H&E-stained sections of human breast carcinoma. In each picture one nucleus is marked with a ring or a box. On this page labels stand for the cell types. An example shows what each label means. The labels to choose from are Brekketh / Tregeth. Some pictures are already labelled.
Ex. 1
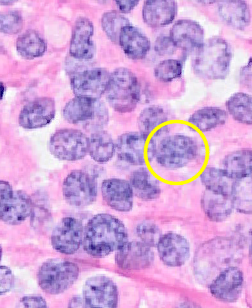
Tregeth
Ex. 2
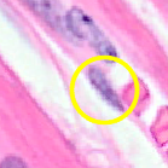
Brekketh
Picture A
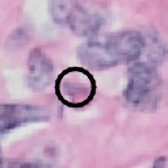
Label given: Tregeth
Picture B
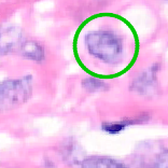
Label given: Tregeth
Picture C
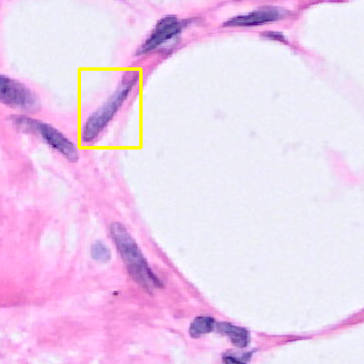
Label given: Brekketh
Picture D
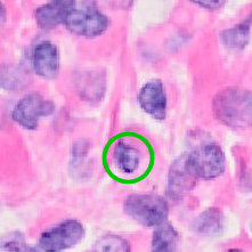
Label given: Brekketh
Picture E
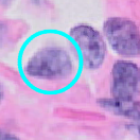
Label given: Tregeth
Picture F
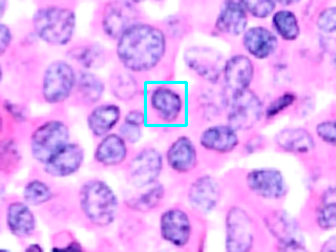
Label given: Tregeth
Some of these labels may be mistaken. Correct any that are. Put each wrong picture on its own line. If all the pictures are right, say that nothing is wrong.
A: Brekketh, not Tregeth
